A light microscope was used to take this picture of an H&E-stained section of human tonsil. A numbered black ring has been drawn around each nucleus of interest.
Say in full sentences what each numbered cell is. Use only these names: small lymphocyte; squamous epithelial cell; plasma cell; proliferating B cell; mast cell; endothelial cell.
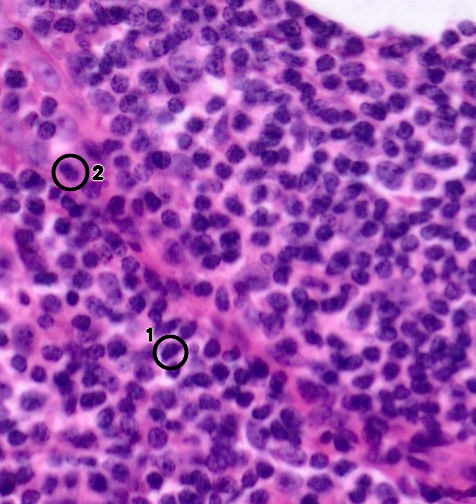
Cell 1 is a small lymphocyte and cell 2 is an endothelial cell.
